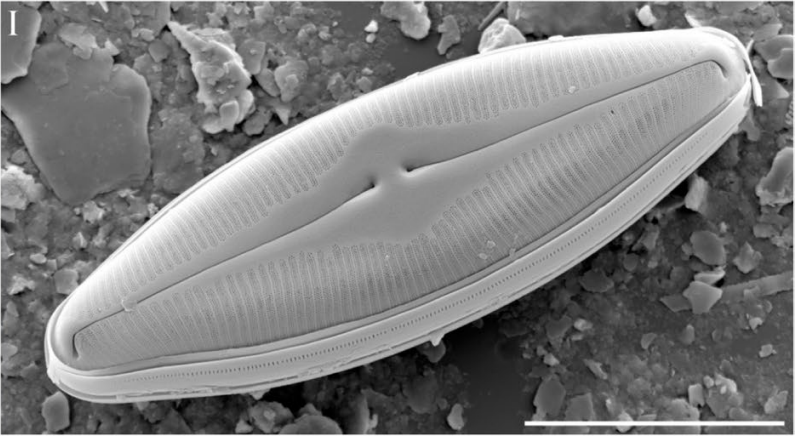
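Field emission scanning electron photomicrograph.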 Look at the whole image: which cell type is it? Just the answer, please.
Diatoms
